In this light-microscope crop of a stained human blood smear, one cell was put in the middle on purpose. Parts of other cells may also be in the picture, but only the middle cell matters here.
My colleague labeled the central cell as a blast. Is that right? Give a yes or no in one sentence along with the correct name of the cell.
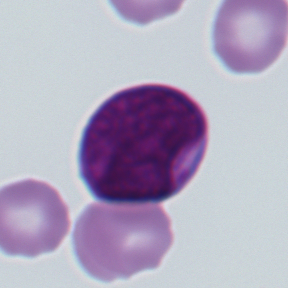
Yes, a blast occupies the middle of the crop.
